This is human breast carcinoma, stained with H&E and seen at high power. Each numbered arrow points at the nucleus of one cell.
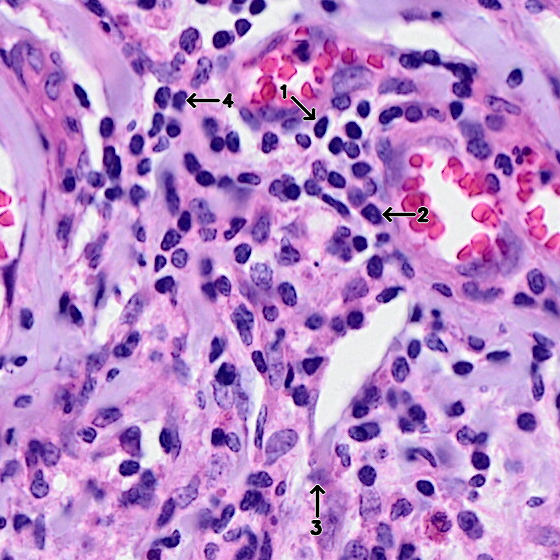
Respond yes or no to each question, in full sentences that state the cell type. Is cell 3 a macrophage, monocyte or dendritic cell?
Yes, the cell whose nucleus carries number 3 is a macrophage, monocyte or dendritic cell.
